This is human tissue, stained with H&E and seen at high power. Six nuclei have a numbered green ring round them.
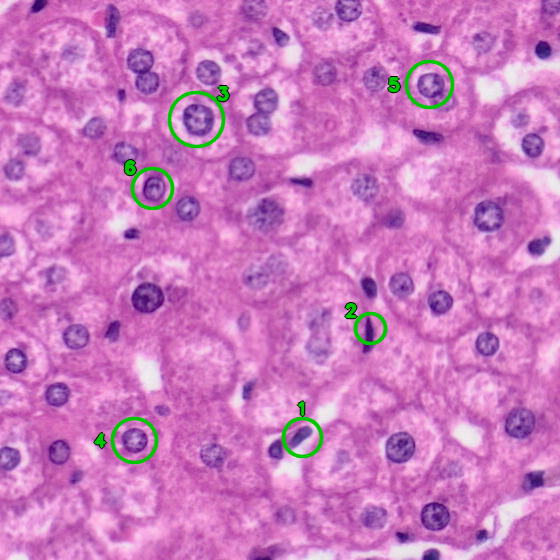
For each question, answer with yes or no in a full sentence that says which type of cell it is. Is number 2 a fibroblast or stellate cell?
Yes, number 2 corresponds to a fibroblast or stellate cell.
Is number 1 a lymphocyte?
Yes, the cell sitting at number 1 is a lymphocyte.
